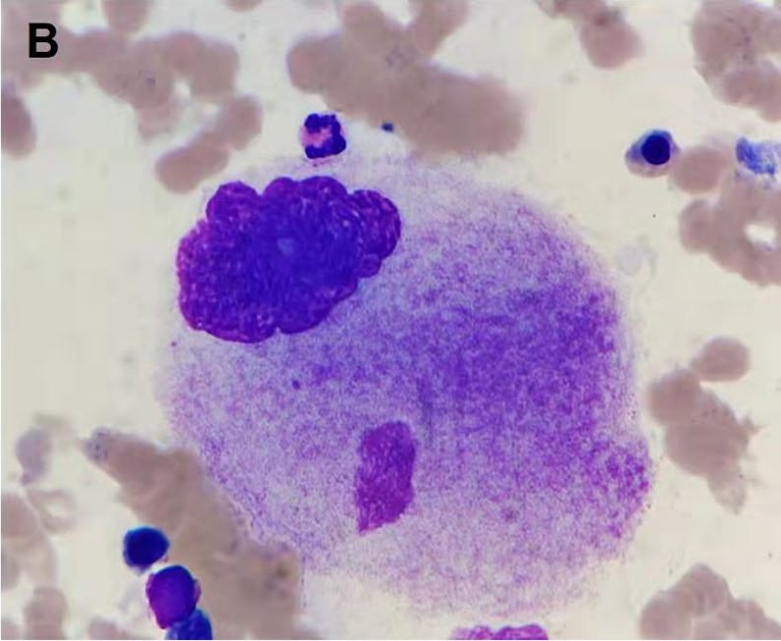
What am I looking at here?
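This bone marrow smear is dominated by a single very large megakaryocyte set among clumped red blood cells. Its nucleus is dark purple, folded and lobulated, and lies to one side of the cell. The cytoplasm is abundant, pale lilac and finely granular, spreading over a wide area with a somewhat irregular edge. Much smaller marrow cells with dark round nuclei lie at the margins of the field, which shows how large the megakaryocyte is by comparison.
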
